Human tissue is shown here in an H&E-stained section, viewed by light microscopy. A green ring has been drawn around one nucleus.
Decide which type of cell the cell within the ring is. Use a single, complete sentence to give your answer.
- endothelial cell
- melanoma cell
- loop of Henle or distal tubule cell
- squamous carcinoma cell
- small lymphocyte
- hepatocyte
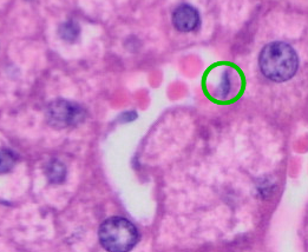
It is as an endothelial cell that the cell within the ring is classified.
